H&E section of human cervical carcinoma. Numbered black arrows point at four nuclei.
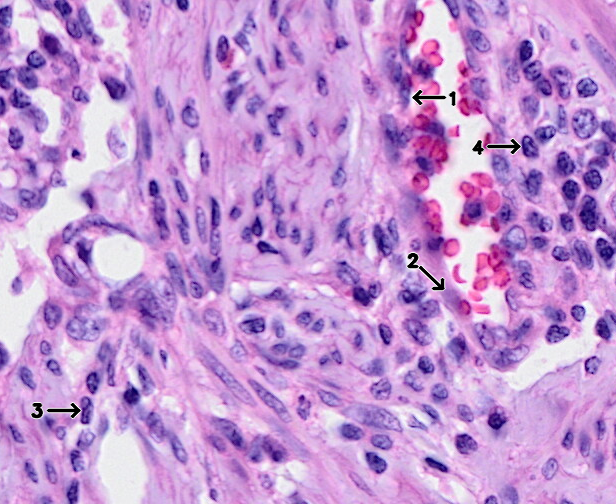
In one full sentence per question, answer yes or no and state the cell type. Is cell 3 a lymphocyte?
Yes, as for number 3, the cell is a lymphocyte.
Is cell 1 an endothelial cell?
Yes, the cell that number 1 points to is an endothelial cell.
